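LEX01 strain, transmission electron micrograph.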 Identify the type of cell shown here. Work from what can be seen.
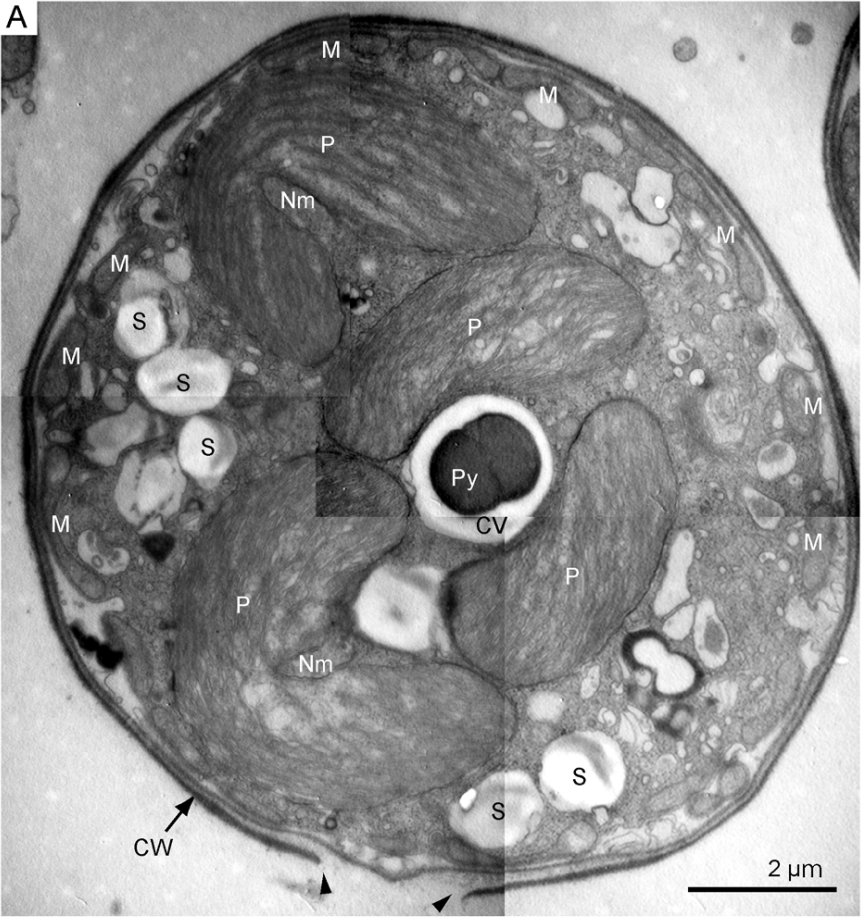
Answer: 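Walled coccoid cell. A single roughly round cell fills the panel. Several large lobed striated bodies lie around a central dense round body.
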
